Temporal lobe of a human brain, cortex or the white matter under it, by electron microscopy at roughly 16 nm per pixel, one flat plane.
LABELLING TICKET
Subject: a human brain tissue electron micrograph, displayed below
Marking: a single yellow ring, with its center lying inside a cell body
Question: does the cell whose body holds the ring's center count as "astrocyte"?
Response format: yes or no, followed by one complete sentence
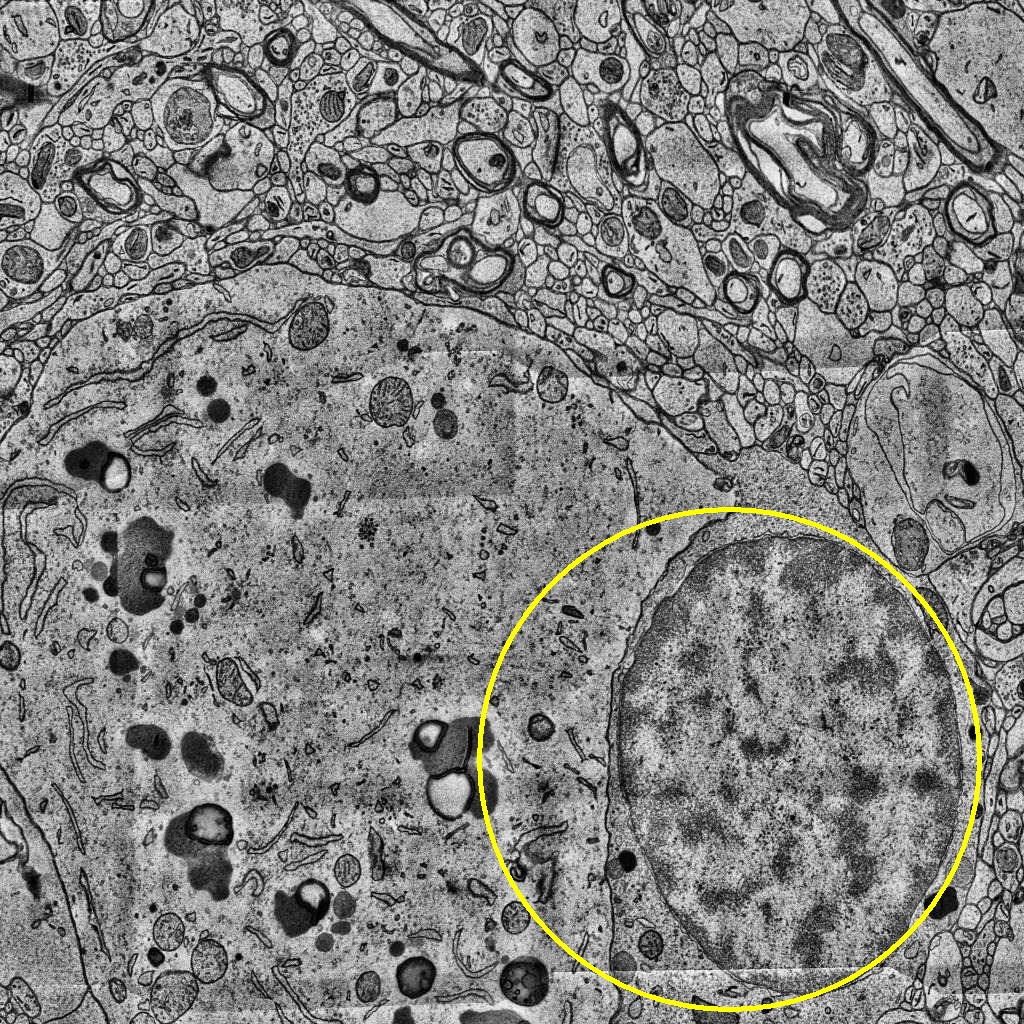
No, the cell whose body holds the center of the ring in the picture belongs to another kind.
